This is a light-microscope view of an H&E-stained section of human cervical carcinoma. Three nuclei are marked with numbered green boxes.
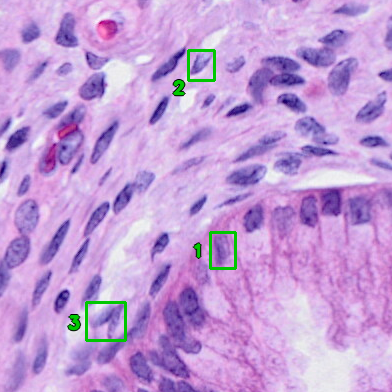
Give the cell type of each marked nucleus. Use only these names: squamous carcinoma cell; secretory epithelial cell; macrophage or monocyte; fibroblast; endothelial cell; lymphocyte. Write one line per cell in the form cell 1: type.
cell 1: secretory epithelial cell
cell 2: fibroblast
cell 3: fibroblast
